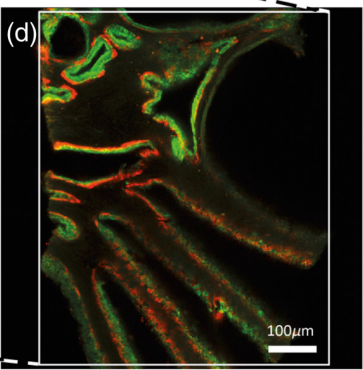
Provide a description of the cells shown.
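Along each wall, the green layer faces the lumen and forms the inner lining of the gland, the luminal epithelial cells. On the outer side of that lining runs a thin, broken rim of red, the basal epithelial cells. The glands branch and fold, so the two-layered walls appear as long parallel strips and curved loops. Between the glands the stroma is dark with only faint background glow.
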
